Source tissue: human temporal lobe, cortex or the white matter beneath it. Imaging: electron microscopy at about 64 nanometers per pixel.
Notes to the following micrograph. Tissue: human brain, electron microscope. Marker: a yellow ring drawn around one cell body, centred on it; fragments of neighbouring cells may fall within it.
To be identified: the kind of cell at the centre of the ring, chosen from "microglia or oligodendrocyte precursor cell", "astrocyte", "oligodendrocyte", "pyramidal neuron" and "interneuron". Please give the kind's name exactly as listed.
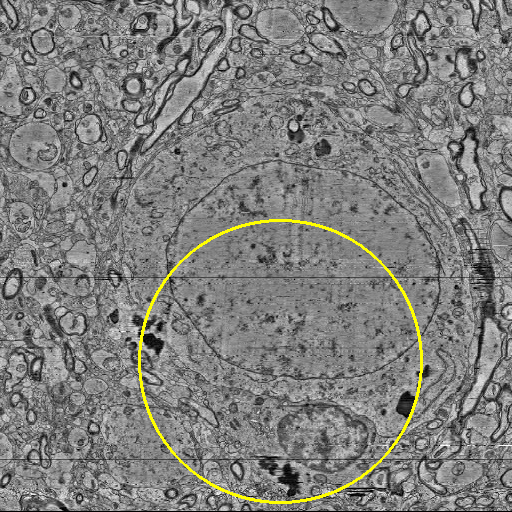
pyramidal neuron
